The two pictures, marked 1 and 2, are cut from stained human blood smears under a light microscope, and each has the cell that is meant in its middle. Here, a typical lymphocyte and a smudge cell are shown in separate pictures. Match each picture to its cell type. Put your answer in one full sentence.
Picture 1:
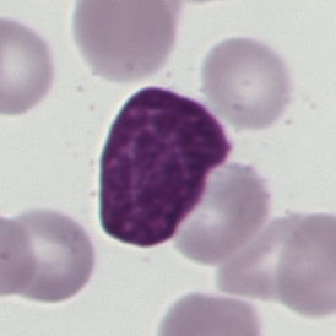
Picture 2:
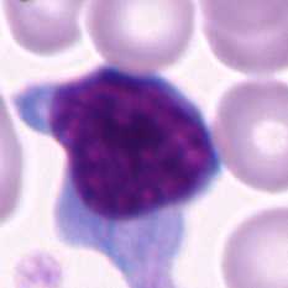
Picture 1 is of a smudge cell, and picture 2 is of a typical lymphocyte.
